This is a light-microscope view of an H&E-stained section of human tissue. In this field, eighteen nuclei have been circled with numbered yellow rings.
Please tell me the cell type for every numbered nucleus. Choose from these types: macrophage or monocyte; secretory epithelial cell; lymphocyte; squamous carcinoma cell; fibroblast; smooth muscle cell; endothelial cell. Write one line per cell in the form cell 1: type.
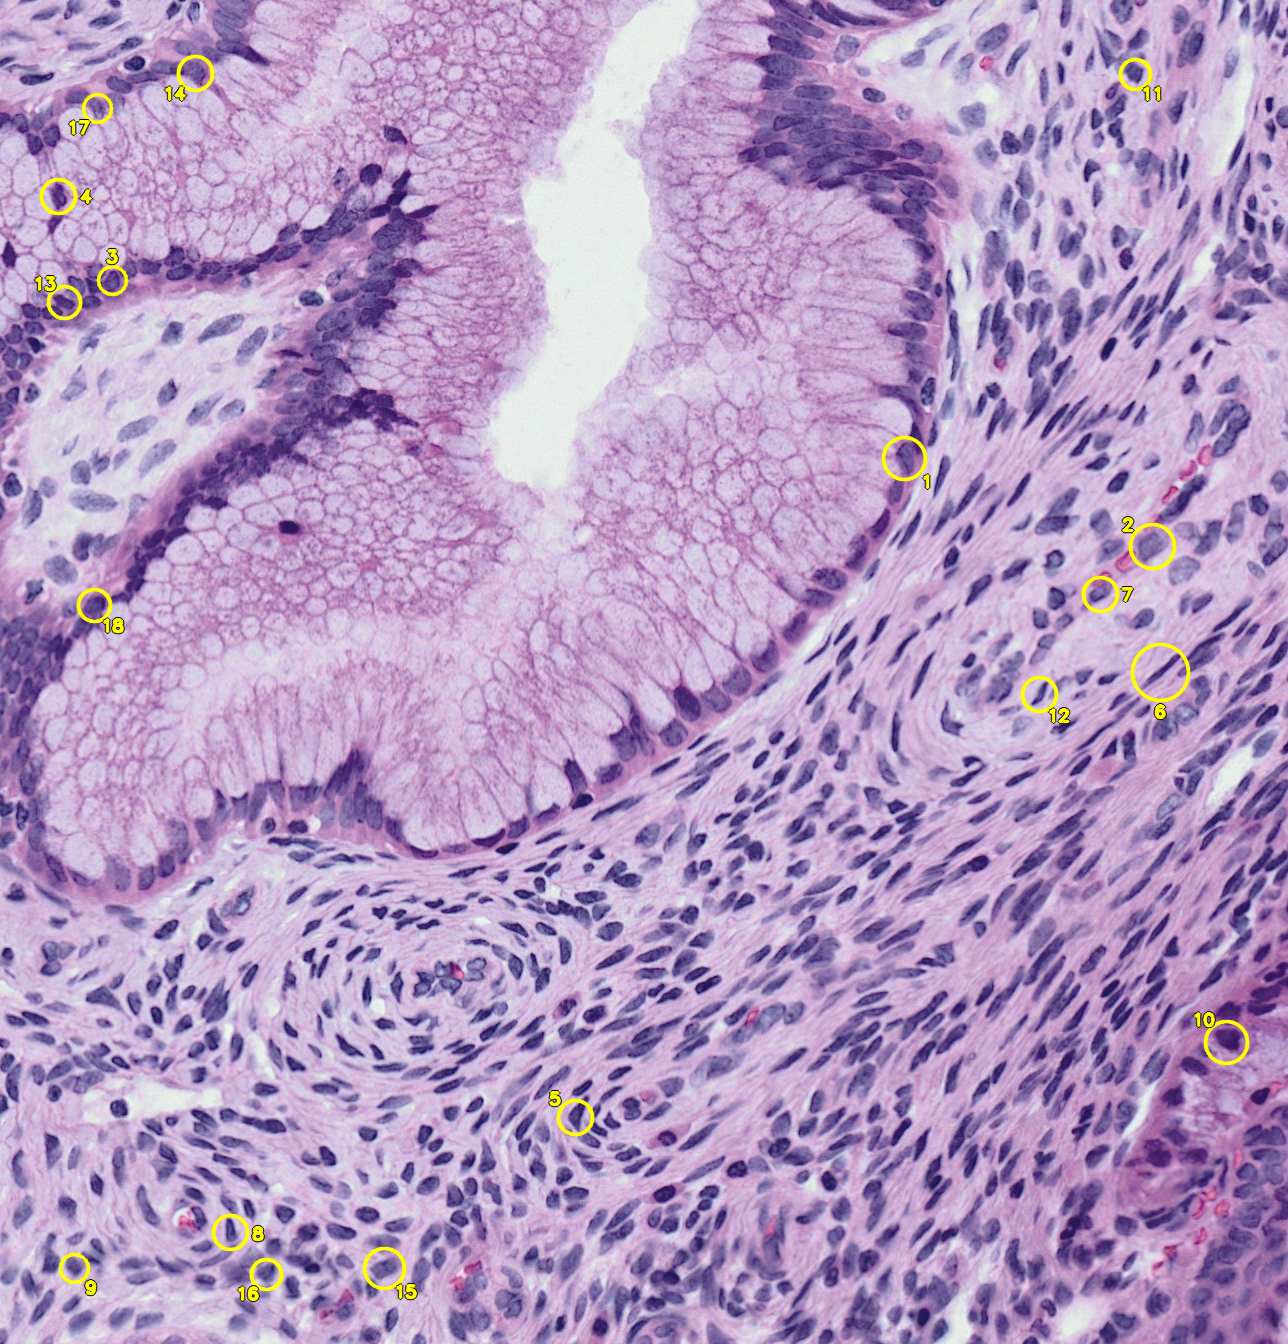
cell 1: secretory epithelial cell
cell 2: endothelial cell
cell 3: secretory epithelial cell
cell 4: secretory epithelial cell
cell 5: fibroblast
cell 6: fibroblast
cell 7: endothelial cell
cell 8: fibroblast
cell 9: fibroblast
cell 10: secretory epithelial cell
cell 11: fibroblast
cell 12: fibroblast
cell 13: secretory epithelial cell
cell 14: secretory epithelial cell
cell 15: fibroblast
cell 16: fibroblast
cell 17: secretory epithelial cell
cell 18: secretory epithelial cell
